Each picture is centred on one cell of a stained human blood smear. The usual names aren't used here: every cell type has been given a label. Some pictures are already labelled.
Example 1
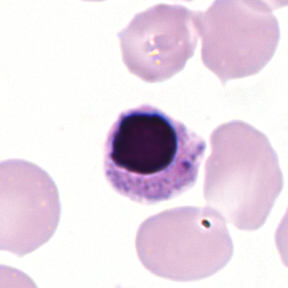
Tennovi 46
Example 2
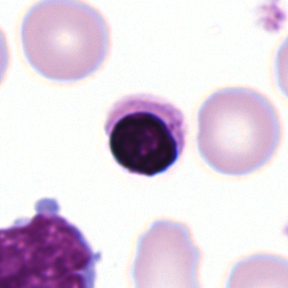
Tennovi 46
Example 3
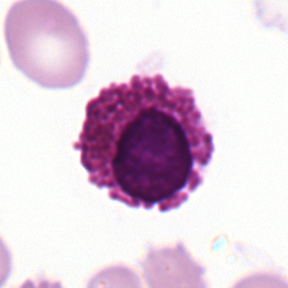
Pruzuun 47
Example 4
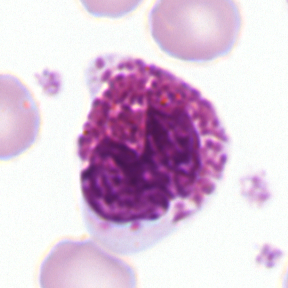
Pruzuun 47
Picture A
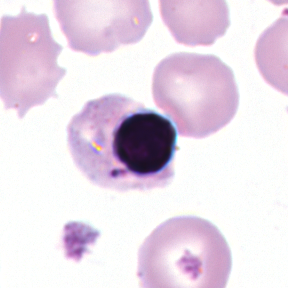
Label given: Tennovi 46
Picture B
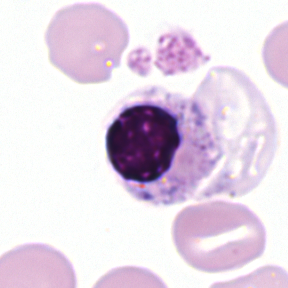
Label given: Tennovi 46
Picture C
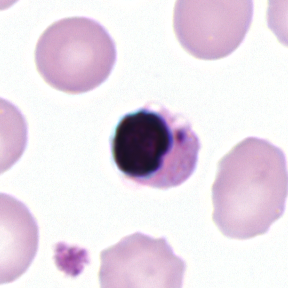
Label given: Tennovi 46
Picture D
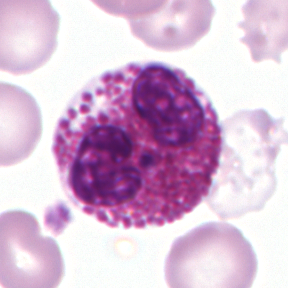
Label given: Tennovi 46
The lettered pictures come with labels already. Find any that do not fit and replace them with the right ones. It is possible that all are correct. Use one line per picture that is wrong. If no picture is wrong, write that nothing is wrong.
D: change Tennovi 46 to Pruzuun 47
